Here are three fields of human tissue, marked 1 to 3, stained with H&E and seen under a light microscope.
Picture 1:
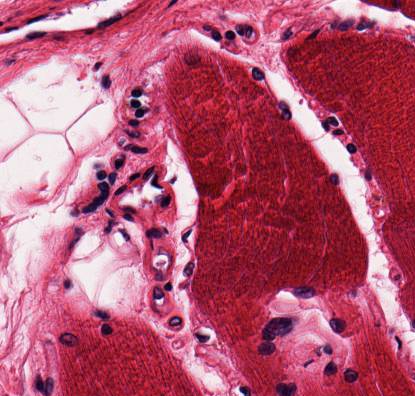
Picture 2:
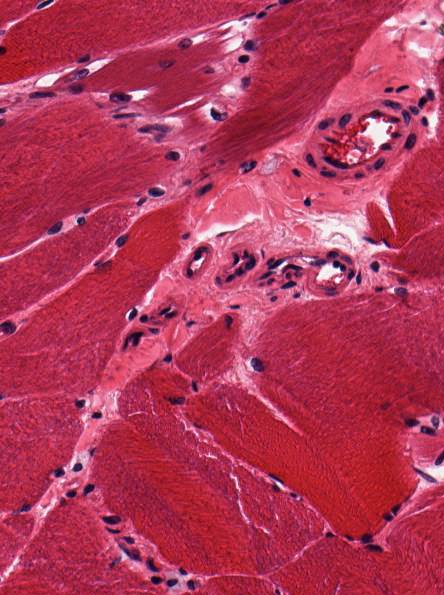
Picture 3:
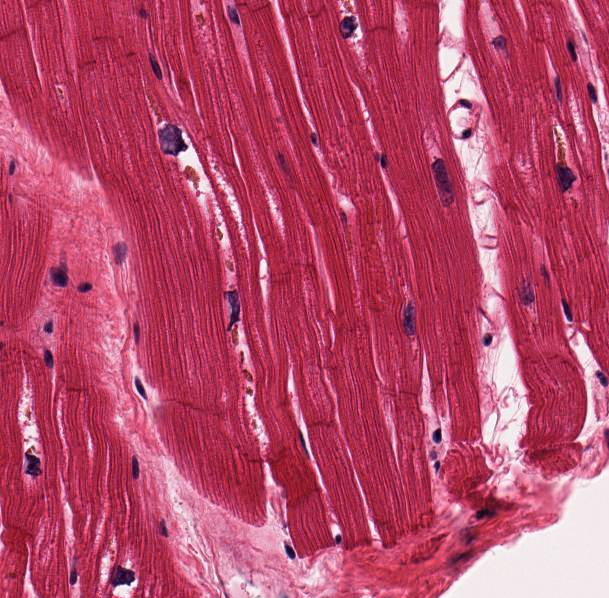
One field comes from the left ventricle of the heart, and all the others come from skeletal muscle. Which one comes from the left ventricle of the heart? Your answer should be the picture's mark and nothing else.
3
